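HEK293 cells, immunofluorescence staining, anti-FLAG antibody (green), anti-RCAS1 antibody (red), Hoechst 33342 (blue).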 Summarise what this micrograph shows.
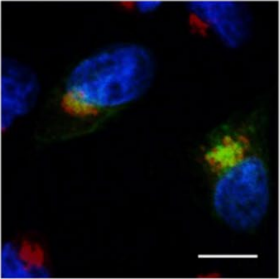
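In the stained cells the green signal is gathered in the same place, overlapping the red cluster so that the region appears yellow-orange. Away from that cluster the cytoplasm shows only faint green.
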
